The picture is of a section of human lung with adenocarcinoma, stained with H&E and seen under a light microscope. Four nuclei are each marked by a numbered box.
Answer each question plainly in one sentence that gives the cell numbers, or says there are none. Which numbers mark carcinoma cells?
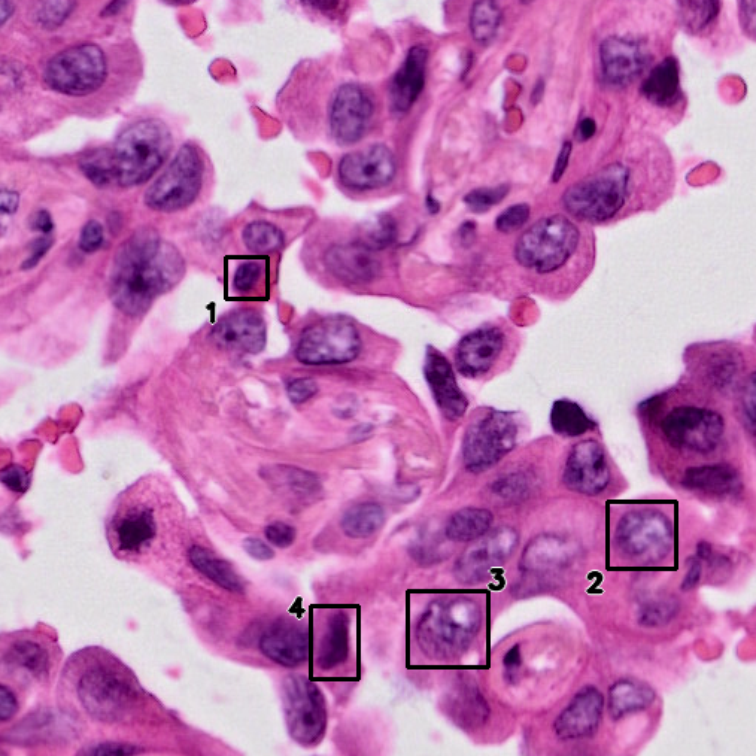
The cells the numbers 2, 3 and 4 point to are carcinoma cells.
